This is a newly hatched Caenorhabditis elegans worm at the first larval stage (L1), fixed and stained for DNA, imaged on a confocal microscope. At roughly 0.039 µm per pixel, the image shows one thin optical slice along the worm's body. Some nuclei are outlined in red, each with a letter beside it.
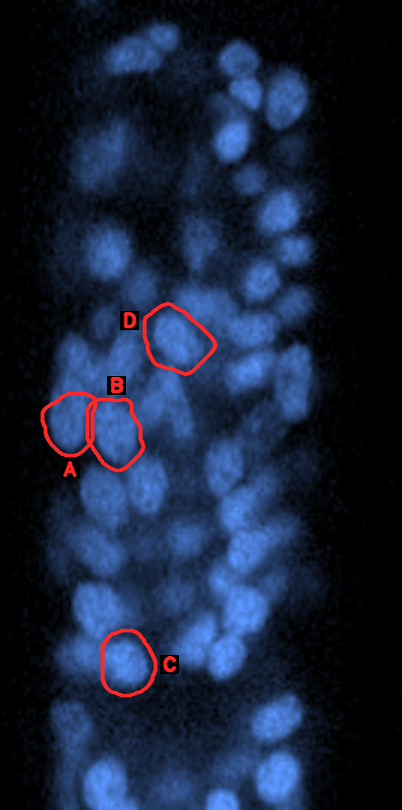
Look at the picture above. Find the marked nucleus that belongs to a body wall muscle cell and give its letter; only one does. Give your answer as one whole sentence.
Nucleus A belongs to a body wall muscle cell.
